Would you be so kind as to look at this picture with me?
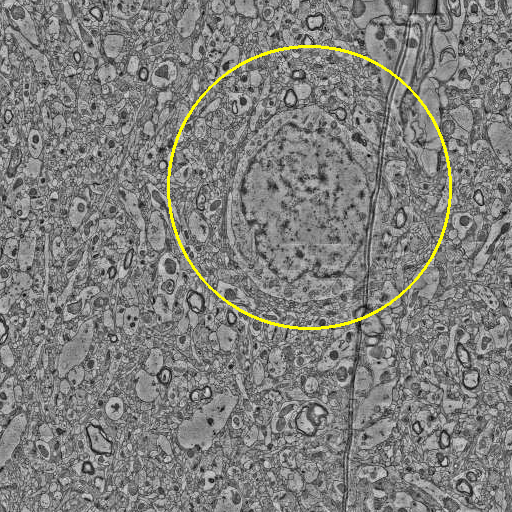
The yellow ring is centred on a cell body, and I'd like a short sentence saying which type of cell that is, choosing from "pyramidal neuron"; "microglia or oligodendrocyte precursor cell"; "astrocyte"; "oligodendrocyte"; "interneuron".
The cell body in the ring belongs to an interneuron.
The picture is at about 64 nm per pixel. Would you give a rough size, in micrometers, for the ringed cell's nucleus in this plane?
In this plane, the nucleus of the cell at the centre of the ring measures about 10 by 8 micrometres.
